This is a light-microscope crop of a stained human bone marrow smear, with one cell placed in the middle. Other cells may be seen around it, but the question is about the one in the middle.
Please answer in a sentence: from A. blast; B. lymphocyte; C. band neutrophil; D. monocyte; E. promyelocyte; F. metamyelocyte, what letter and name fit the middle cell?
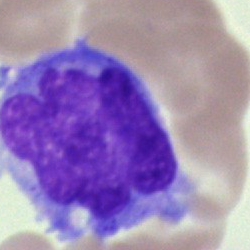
The cell at the centre, correctly named in option D, is a monocyte.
